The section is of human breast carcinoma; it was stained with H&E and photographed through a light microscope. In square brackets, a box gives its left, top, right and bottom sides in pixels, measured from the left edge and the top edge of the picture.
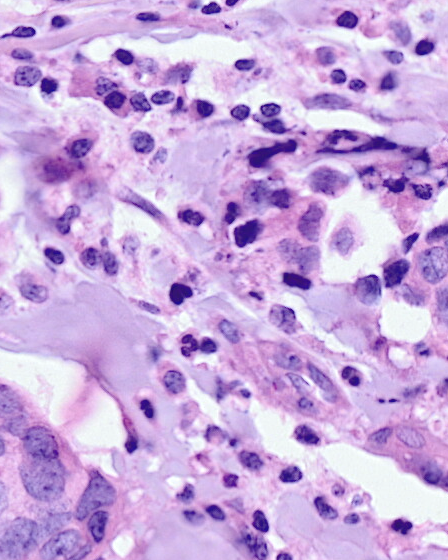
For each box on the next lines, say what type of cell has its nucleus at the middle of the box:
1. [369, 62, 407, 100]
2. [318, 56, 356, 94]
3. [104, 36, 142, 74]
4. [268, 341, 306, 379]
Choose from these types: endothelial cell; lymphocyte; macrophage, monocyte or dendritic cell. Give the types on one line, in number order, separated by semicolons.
lymphocyte; lymphocyte; lymphocyte; endothelial cell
